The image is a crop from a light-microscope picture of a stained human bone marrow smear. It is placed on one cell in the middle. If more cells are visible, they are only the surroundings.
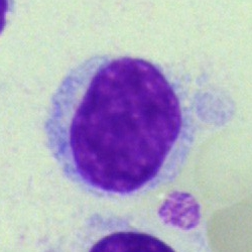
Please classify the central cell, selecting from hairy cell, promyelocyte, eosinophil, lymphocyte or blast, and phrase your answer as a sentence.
In this crop, the cell at the very middle is a hairy cell.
